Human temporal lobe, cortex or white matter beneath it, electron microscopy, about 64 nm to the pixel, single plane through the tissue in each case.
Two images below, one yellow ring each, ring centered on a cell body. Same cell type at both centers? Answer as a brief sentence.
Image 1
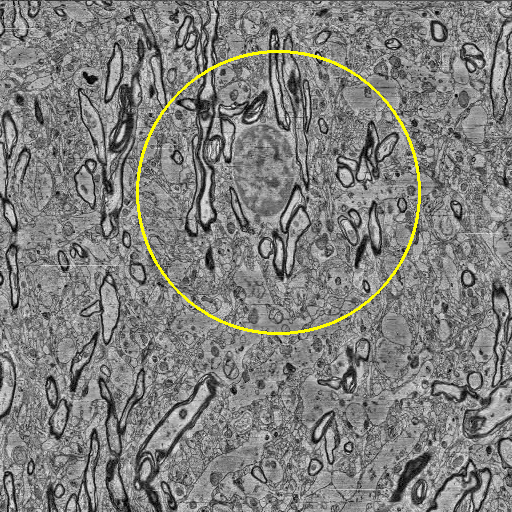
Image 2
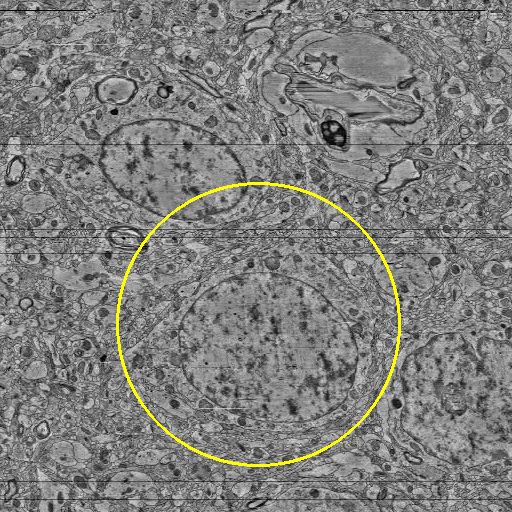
No, the cells are of two separate types.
